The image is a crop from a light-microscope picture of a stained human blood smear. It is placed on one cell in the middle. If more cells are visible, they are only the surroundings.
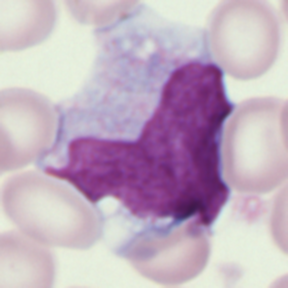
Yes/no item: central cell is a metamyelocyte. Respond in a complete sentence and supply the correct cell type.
No, the cell at the centre is a monocyte, which rules out a metamyelocyte.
